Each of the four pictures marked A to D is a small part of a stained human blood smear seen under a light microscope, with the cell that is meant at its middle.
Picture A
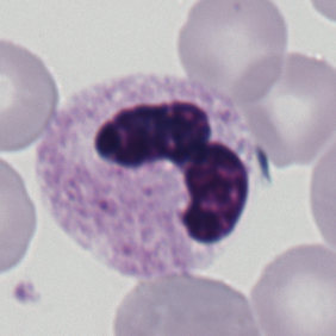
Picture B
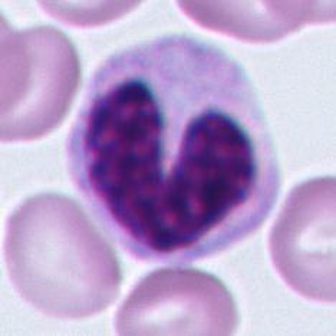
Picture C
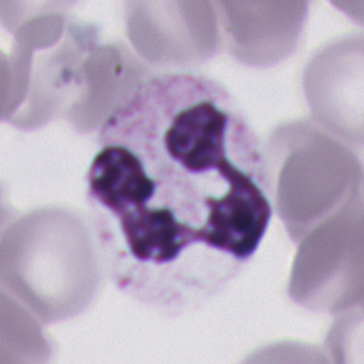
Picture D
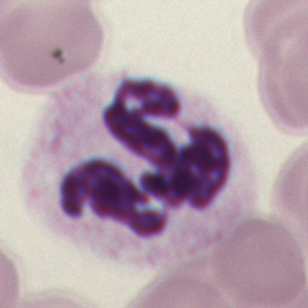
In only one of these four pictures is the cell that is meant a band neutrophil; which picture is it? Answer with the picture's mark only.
B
